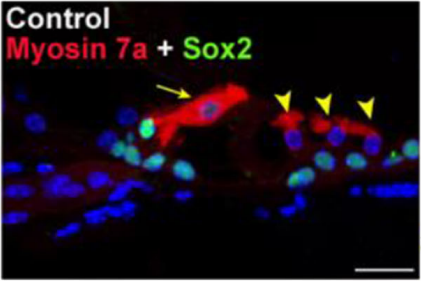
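Cross-section of the organ of Corti showing one large, intensely red inner hair cell with a round blue nucleus on the left and three smaller red outer hair cells side by side on the right, separated by a dark tunnel. Green-tinged nuclei of supporting cells lie beside the inner hair cell and in a row beneath the outer hair cells, on a layer of elongated blue nuclei below.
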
